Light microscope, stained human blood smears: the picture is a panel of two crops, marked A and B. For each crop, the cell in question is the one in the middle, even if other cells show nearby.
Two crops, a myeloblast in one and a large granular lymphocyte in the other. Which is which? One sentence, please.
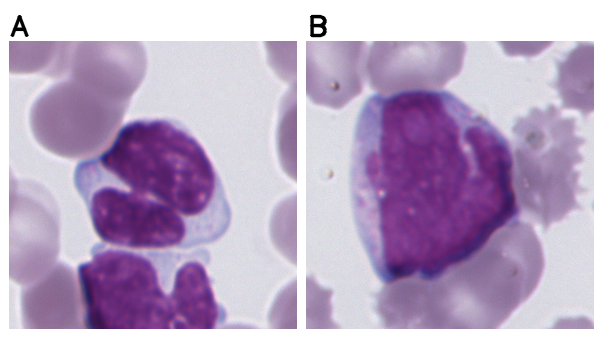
Respectively, crops A and B show a large granular lymphocyte and a myeloblast.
